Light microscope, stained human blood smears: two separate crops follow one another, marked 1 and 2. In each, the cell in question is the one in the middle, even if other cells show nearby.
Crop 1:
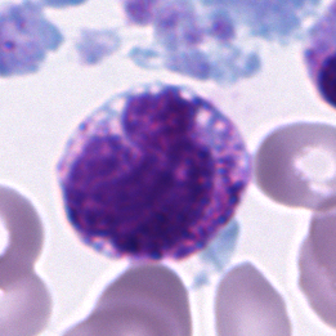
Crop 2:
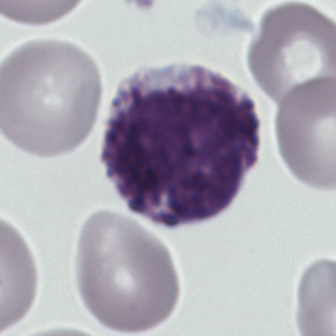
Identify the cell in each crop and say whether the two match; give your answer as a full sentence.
Yes, they do, both crops show basophils.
